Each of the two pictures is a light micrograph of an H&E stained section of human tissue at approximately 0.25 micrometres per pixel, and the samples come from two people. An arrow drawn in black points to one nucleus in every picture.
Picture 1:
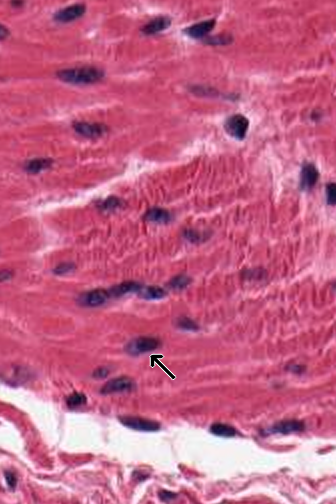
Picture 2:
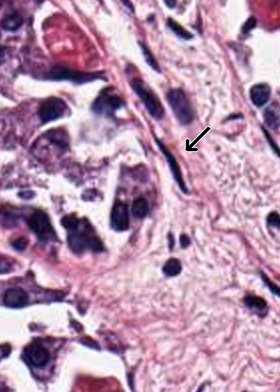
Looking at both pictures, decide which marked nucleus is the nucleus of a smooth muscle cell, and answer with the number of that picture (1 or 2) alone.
1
